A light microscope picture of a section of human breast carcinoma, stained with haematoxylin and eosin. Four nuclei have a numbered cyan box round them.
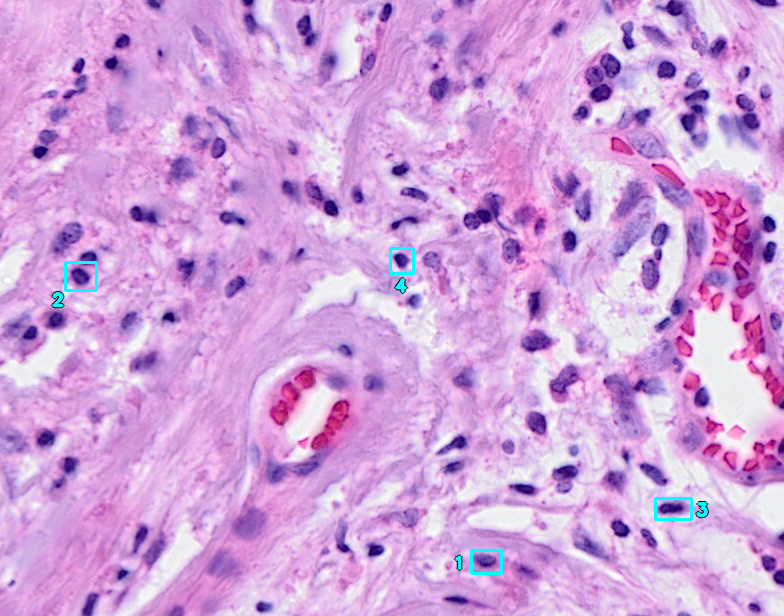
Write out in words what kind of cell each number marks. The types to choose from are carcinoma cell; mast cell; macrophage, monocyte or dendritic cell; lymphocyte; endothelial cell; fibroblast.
Cell 1 is a mast cell. Cells 2, 3 and 4 are lymphocytes.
